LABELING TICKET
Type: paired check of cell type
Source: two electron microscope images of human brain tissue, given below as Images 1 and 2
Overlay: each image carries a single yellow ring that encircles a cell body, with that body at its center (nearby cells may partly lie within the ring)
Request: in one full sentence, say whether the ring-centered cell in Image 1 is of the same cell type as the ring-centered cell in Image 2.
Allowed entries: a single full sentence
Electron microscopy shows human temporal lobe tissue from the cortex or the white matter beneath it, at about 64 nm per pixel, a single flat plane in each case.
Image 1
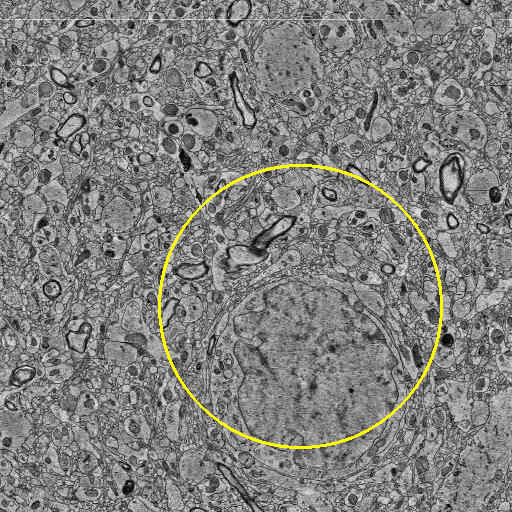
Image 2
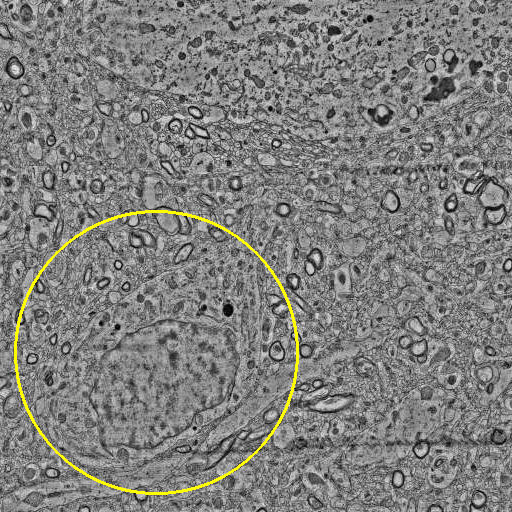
Yes, the cells centered in the rings of Image 1 and Image 2 share one type.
